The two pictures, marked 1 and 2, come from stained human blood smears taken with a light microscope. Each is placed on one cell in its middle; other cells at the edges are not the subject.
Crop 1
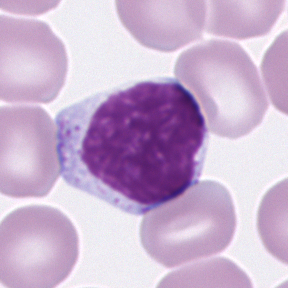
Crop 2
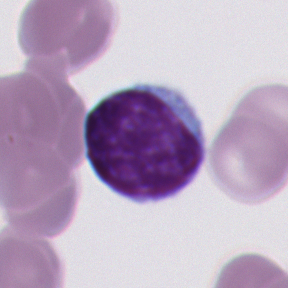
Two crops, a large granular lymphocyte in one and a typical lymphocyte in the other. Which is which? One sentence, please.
Displayed in crop 1 is a large granular lymphocyte, while crop 2 displays a typical lymphocyte.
